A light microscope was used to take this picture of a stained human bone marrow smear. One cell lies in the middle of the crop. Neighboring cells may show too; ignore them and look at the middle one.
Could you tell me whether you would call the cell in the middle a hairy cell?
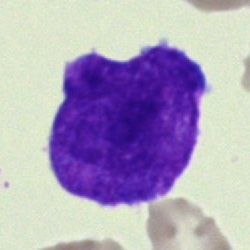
no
